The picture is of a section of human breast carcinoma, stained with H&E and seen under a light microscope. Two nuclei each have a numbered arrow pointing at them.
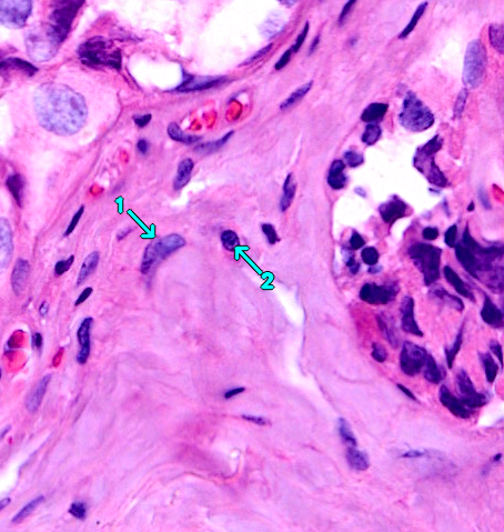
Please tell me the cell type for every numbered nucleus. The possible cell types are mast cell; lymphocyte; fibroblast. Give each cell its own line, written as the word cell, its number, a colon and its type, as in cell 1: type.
cell 1: fibroblast
cell 2: mast cell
